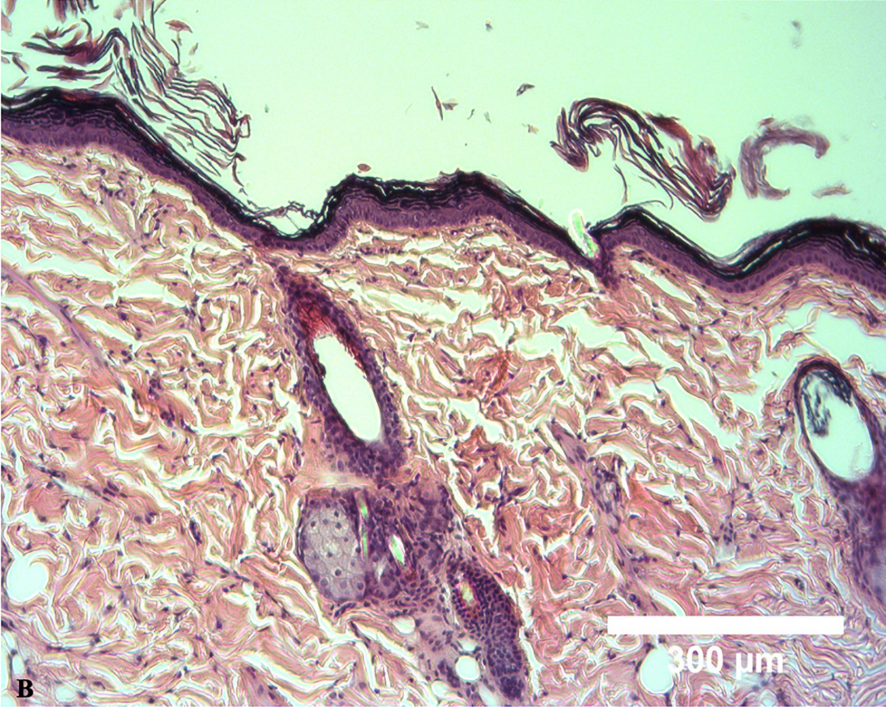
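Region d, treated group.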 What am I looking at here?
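This is skin, with a thin surface epidermis over connective tissue holding hair follicles and a sebaceous gland. Along the top runs a narrow band of purple, closely packed epidermal cells, topped by a dark line of keratin that flakes off as loose wavy strands. Below, pink collagen fibers form a loose, wavy meshwork with scattered small dark nuclei. Hair follicles dip down from the surface as oval canals lined by purple epithelium. Near the lower center sits a pale, bubbly lobule of sebaceous cells beside the follicle wall. A few clear fat spaces appear at the lower left.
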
